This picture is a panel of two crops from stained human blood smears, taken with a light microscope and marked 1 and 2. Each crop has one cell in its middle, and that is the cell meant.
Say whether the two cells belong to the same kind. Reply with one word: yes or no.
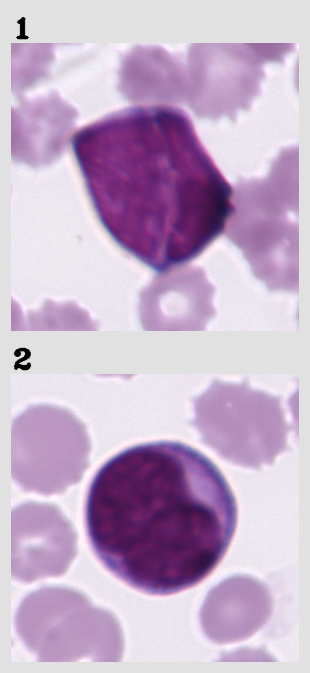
yes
